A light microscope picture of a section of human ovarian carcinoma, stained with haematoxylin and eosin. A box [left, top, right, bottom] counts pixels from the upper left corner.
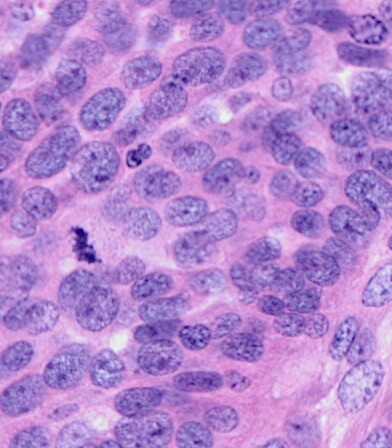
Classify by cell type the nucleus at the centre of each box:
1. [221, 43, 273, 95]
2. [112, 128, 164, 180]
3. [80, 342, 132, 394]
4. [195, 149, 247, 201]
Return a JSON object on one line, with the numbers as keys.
{"1": "carcinoma cell", "2": "lymphocyte", "3": "carcinoma cell", "4": "carcinoma cell"}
